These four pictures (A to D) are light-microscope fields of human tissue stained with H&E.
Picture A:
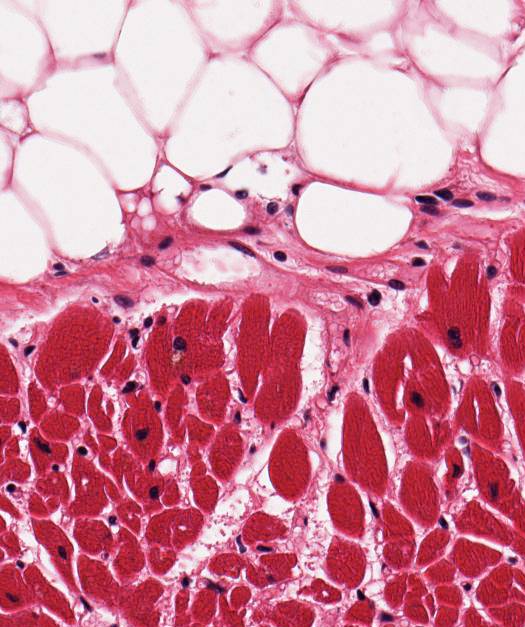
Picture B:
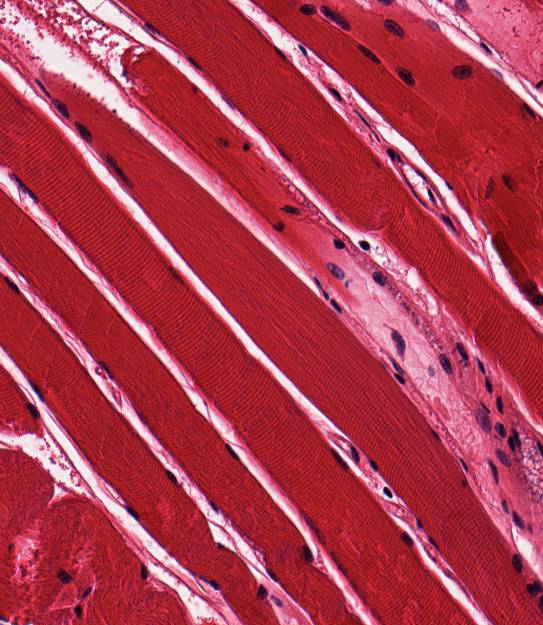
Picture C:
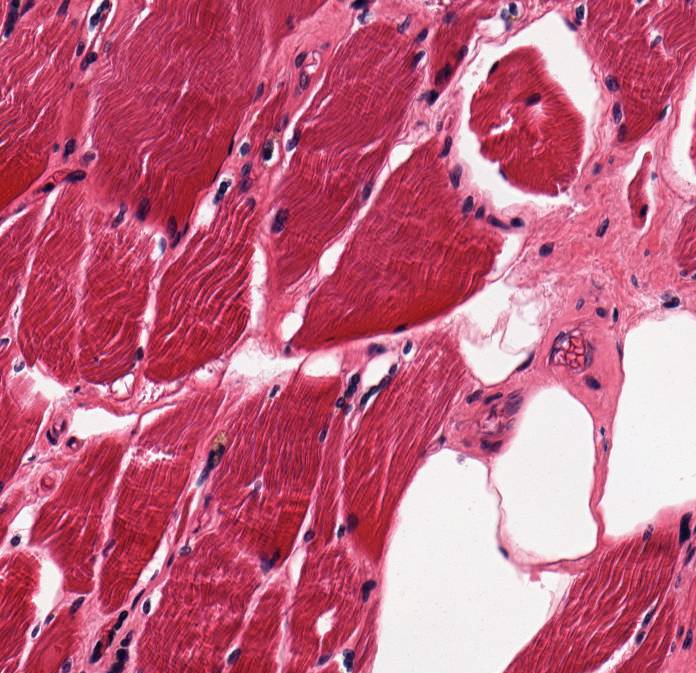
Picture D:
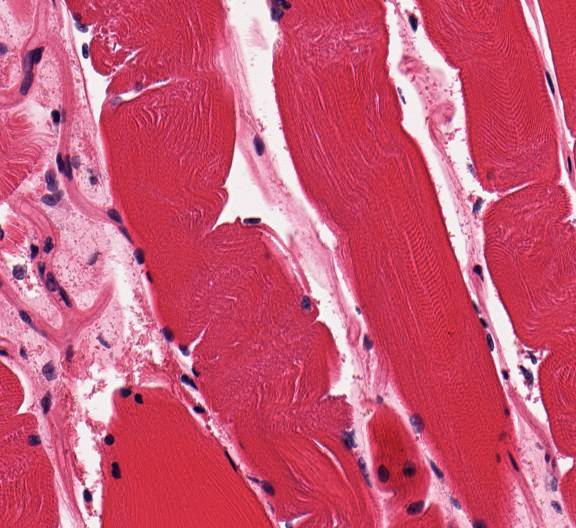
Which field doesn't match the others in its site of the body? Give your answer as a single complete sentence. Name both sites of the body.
The others come from skeletal muscle, but picture A comes from the left ventricle of the heart.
